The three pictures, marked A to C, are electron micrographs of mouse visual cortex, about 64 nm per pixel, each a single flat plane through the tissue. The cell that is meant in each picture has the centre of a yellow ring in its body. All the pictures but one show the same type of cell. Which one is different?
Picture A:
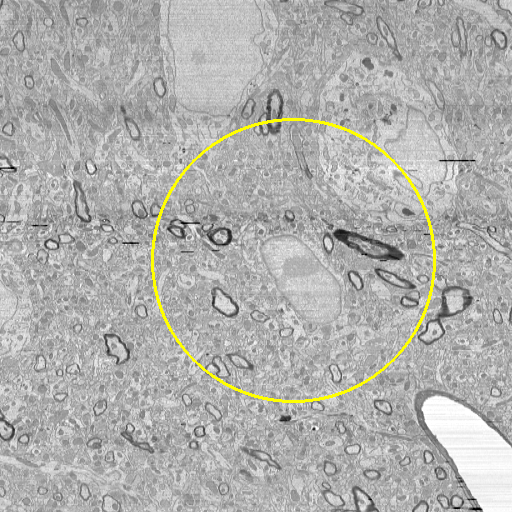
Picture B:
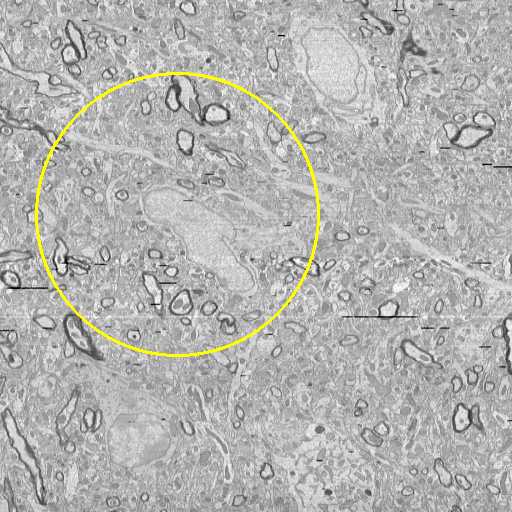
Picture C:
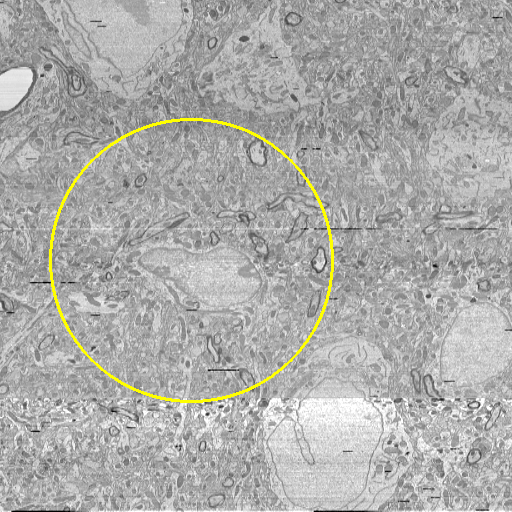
All pictures except B show astrocytes; picture B shows an oligodendrocyte precursor cell.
